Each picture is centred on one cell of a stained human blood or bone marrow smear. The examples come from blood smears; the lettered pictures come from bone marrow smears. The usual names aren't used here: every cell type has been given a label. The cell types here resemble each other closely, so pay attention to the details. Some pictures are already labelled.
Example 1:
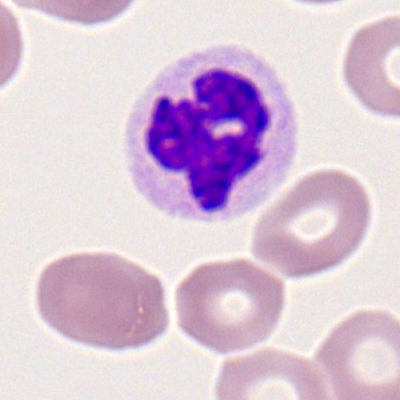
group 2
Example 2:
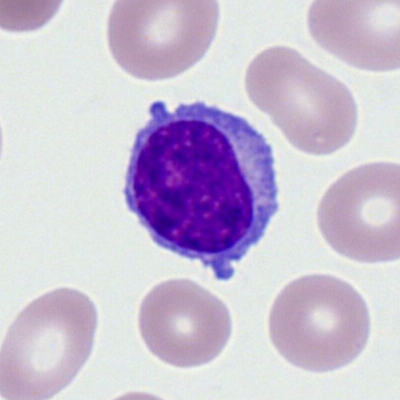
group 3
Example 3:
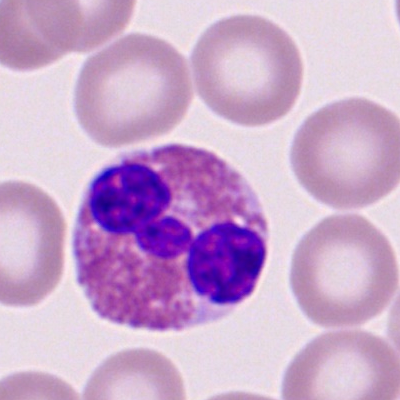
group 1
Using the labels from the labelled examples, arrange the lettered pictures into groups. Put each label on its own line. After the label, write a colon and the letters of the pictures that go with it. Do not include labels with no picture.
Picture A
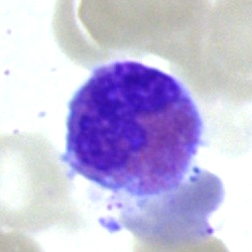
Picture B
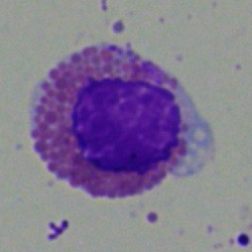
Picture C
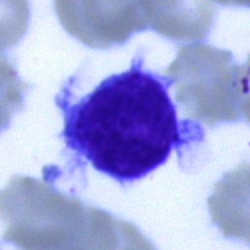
group 3: C
group 1: A, B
